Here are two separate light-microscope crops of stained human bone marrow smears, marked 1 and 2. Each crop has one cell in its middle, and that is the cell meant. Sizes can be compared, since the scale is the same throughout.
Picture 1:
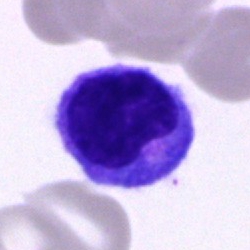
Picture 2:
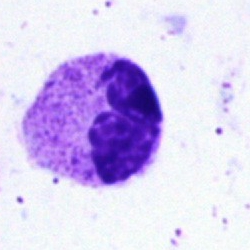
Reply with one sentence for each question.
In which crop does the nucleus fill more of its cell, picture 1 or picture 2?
It is the cell in picture 1 that is filled more by its nucleus.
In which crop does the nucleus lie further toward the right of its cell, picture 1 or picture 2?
The nucleus in picture 2 lies further toward the right of its cell.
